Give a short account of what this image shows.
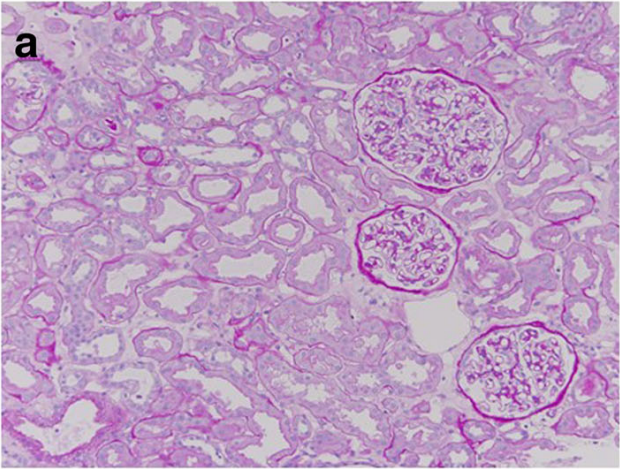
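This is kidney cortex with three glomeruli lying among many cross-sectioned tubules. The glomeruli are round tufts of capillary loops with thin, delicate magenta basement membranes, each surrounded by a crisp magenta capsule and an open space. The tubules around them are lined by pale pink epithelial cells with small bluish nuclei and are outlined by thin magenta basement membranes. The glomerular tufts look open and evenly cellular without scarring or crowding.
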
